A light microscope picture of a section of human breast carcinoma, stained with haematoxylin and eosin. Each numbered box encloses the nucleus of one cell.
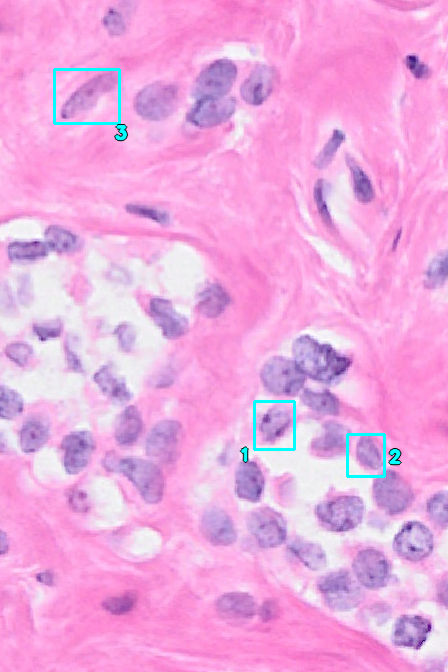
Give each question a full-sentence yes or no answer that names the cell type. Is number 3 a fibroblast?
Yes, the cell marked by the number 3 is a fibroblast.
